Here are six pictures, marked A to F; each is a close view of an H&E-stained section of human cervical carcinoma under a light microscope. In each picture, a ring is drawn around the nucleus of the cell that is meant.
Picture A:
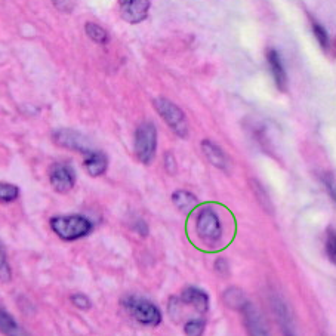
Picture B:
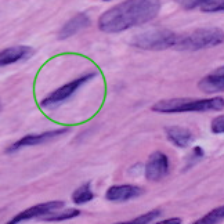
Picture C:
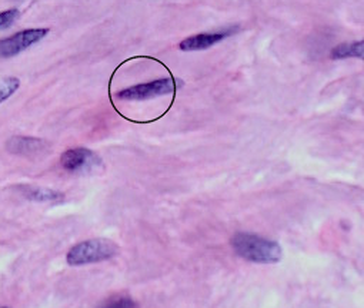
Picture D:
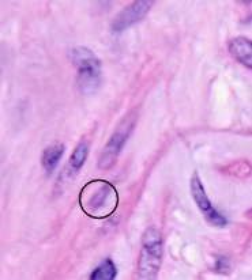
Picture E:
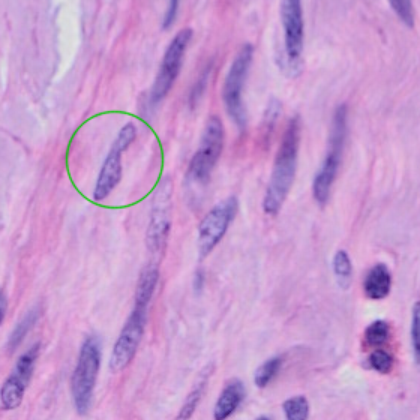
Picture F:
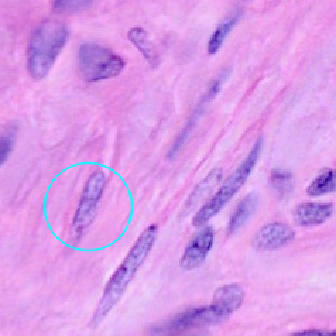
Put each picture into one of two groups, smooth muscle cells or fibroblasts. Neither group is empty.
A: smooth muscle cell
B: fibroblast
C: fibroblast
D: smooth muscle cell
E: smooth muscle cell
F: smooth muscle cell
